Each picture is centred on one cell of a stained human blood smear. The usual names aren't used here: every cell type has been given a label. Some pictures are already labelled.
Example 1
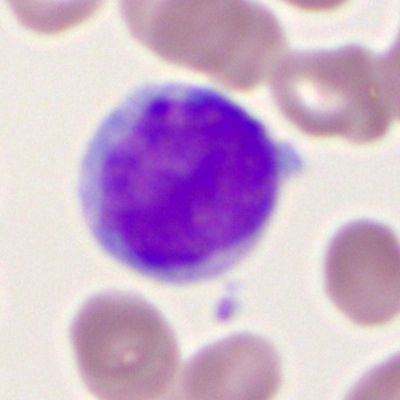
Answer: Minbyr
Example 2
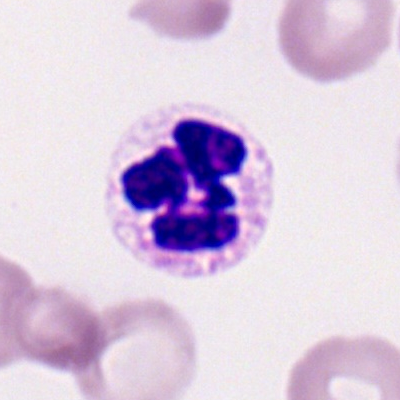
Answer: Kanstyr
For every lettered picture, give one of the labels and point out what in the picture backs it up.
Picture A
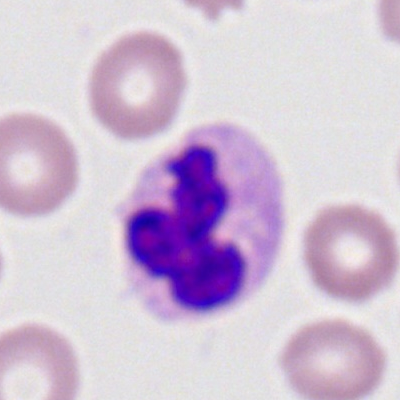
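Answer: Kanstyr. The nucleus is divided into several lobes that stay joined together.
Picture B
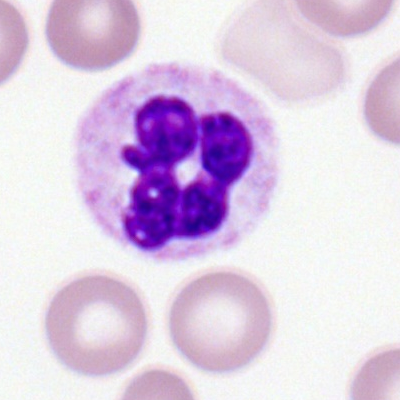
Answer: Kanstyr. The cytoplasm is plentiful and pale pinkish-lilac.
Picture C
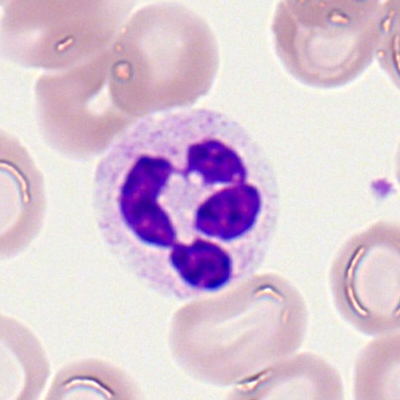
Answer: Kanstyr. The cytoplasm is plentiful and pale lilac-pink.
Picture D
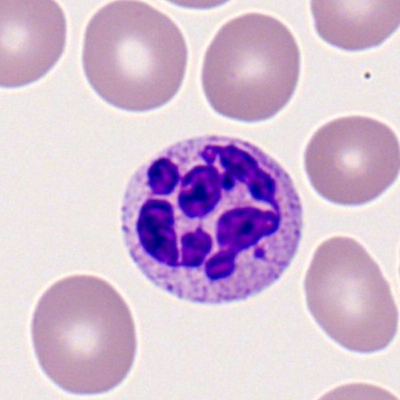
Answer: Kanstyr. The nucleus is split into at least five separate lobes.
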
